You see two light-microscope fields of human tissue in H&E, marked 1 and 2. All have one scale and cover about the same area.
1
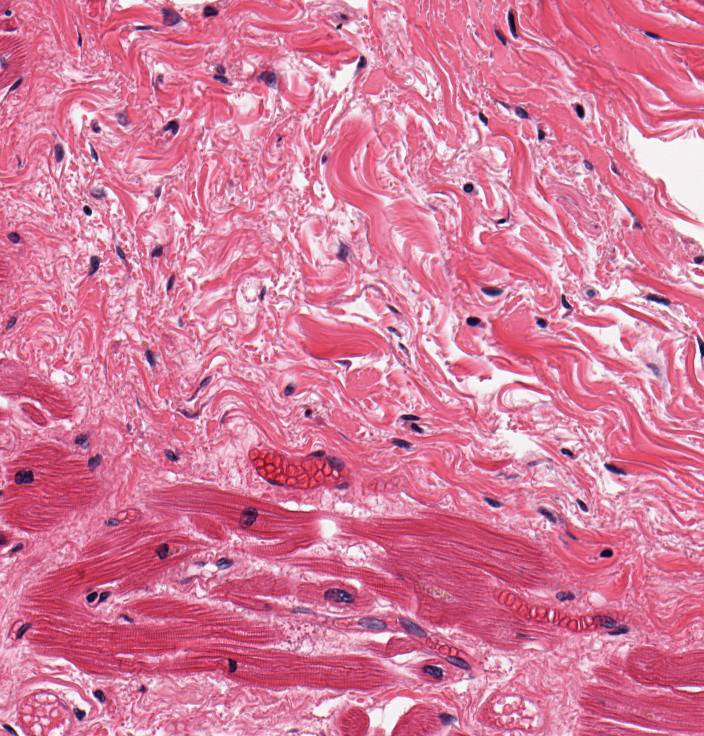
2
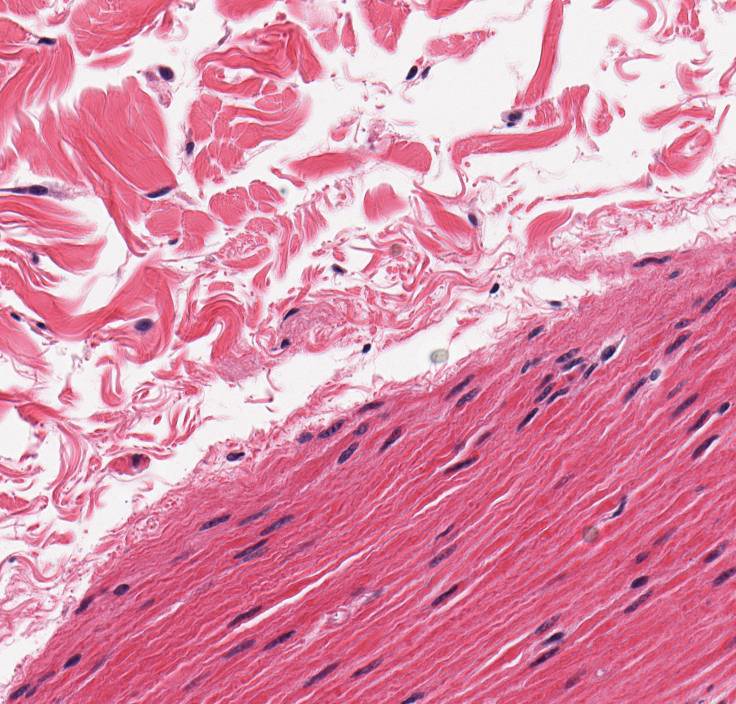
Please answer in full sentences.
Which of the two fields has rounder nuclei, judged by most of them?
It is field 1 whose nuclei are the rounder.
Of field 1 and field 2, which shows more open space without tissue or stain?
It is field 2 in which white space covers the larger part.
